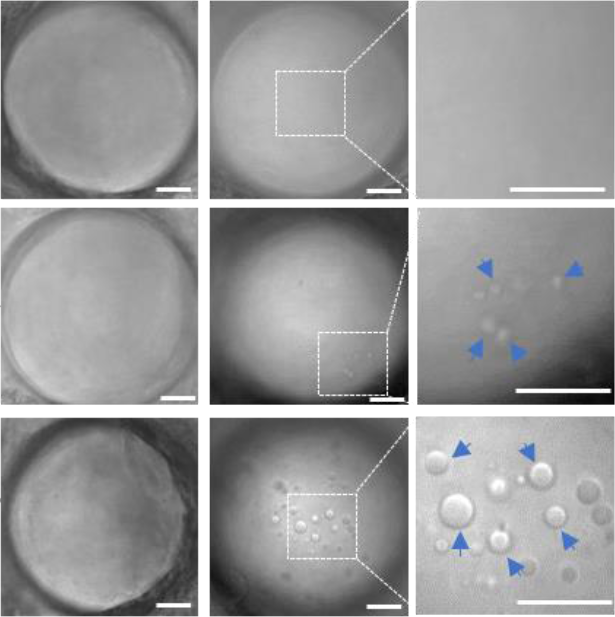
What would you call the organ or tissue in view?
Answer: Lens.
